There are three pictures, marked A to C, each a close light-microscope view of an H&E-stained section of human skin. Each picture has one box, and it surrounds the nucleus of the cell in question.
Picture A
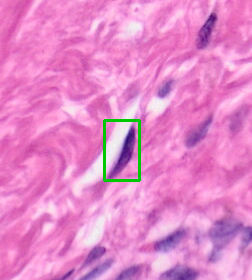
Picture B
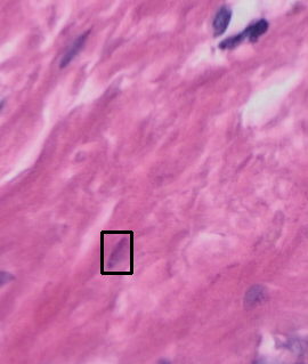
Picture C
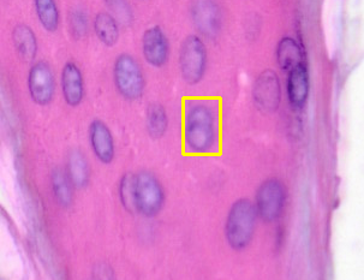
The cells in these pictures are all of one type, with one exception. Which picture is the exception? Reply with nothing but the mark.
C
